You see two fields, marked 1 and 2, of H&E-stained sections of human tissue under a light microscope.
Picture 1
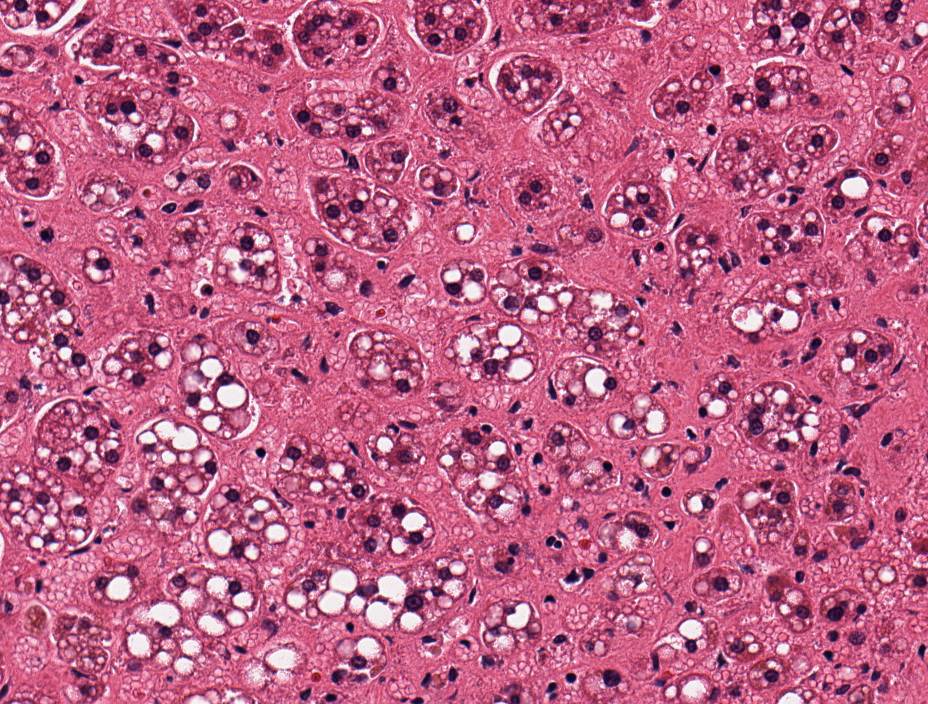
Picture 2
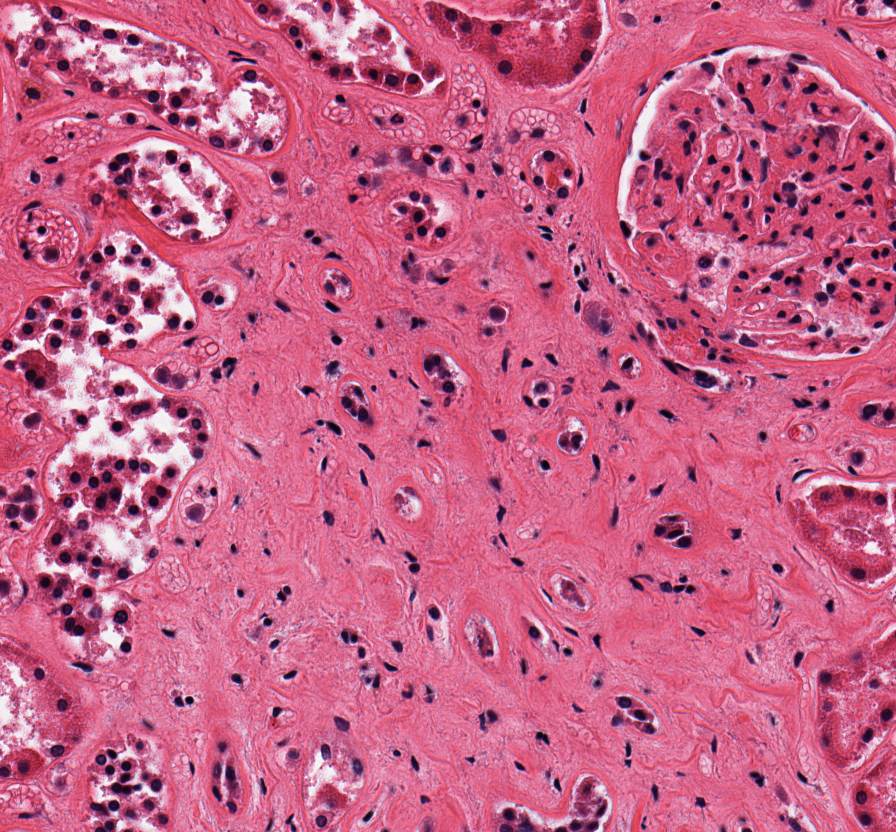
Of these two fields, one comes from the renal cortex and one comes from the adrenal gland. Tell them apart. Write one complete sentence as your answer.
Picture 2 comes from the renal cortex, while picture 1 comes from the adrenal gland.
